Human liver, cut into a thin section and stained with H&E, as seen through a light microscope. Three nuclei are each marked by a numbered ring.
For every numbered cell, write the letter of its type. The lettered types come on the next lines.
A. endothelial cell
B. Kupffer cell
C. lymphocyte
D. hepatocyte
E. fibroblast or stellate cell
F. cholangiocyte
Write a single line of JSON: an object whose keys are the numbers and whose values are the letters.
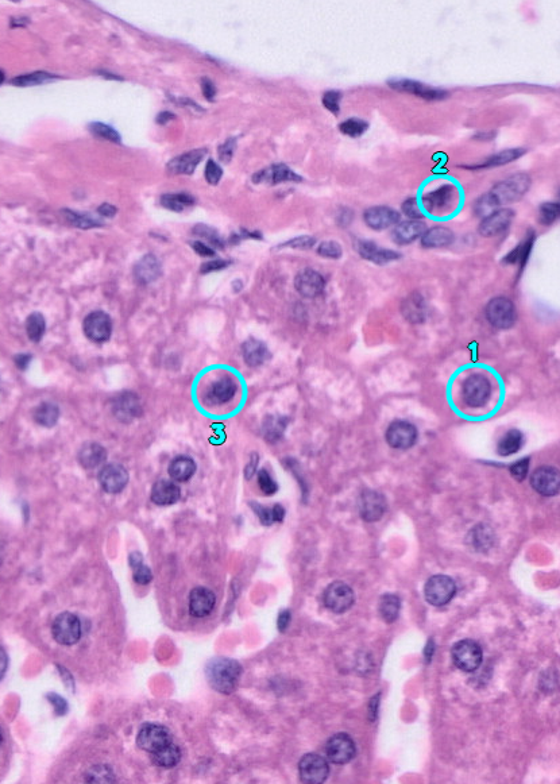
{"1": "D", "2": "F", "3": "E"}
